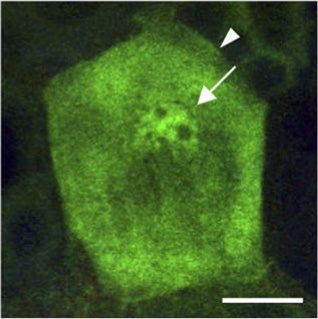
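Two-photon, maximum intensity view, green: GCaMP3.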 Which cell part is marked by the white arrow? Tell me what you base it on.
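The arrow points to a rounded central region inside a large polygonal cell. The region has a mottled, clumped texture unlike the evenly green cytoplasm around it. The answer: nucleus.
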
